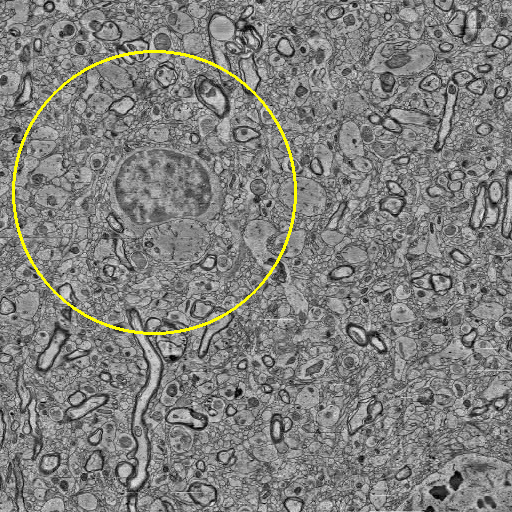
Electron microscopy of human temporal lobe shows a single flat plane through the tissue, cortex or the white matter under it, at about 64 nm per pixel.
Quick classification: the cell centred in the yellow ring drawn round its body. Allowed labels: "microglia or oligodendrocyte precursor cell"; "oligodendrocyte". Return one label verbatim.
oligodendrocyte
